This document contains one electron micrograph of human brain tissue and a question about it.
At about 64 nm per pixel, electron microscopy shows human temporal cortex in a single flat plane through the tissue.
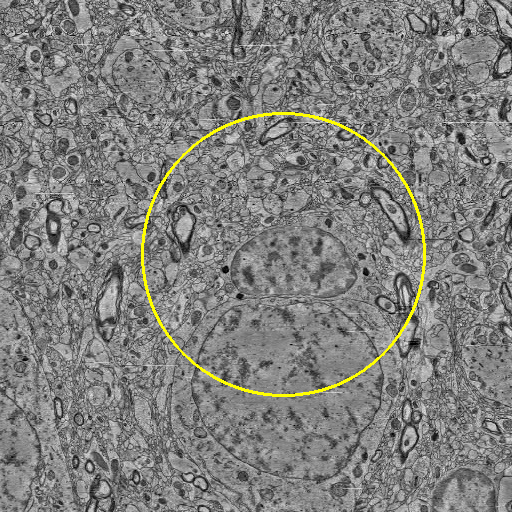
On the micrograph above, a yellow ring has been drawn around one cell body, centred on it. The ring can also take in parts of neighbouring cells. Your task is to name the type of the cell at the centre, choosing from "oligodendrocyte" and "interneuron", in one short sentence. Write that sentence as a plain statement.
Here the ring is centred on an oligodendrocyte.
